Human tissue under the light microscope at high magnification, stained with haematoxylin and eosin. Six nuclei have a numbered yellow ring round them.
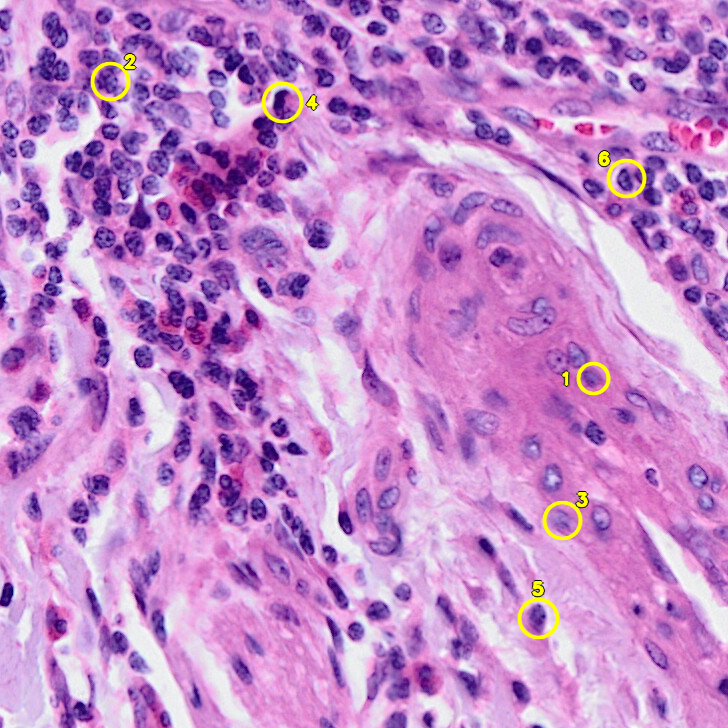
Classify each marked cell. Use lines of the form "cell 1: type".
cell 1: smooth muscle cell
cell 2: lymphocyte
cell 3: smooth muscle cell
cell 4: lymphocyte
cell 5: lymphocyte
cell 6: lymphocyte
